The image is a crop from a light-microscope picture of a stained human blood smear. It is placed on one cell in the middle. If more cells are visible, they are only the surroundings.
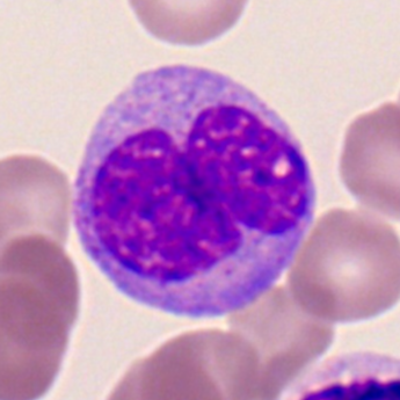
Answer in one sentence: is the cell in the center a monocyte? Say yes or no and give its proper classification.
Yes, the cell in the central position is a monocyte.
